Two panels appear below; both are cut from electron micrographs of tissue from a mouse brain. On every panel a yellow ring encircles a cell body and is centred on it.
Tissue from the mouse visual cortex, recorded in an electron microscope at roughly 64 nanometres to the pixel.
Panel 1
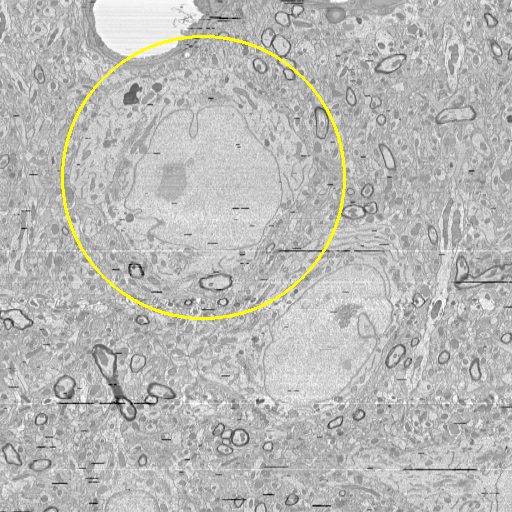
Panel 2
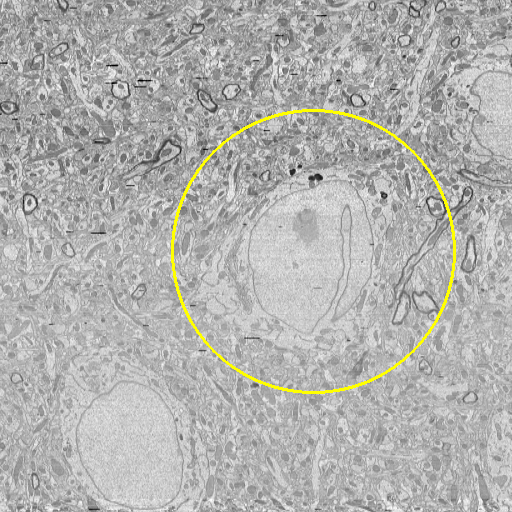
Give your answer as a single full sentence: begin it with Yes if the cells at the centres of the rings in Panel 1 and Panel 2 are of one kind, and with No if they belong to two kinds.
Yes, the cells in the middle of the rings in Panels 1 and 2 are of one kind.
